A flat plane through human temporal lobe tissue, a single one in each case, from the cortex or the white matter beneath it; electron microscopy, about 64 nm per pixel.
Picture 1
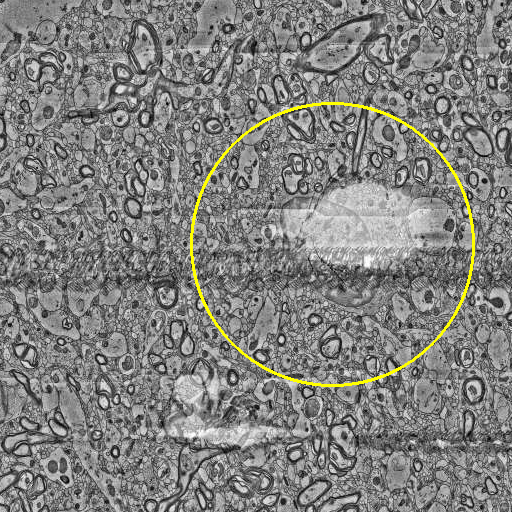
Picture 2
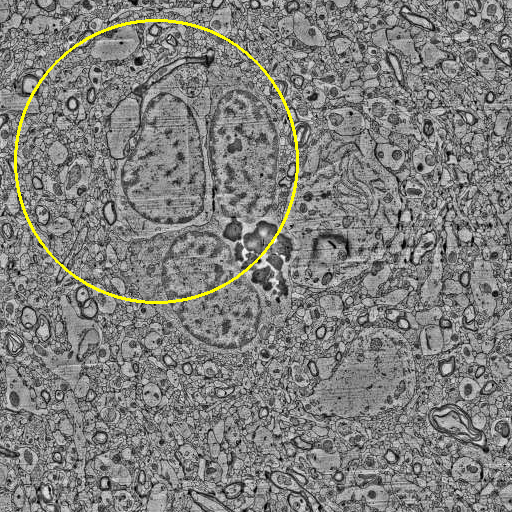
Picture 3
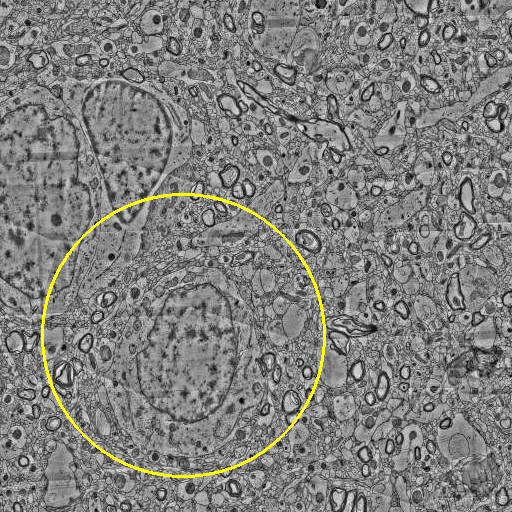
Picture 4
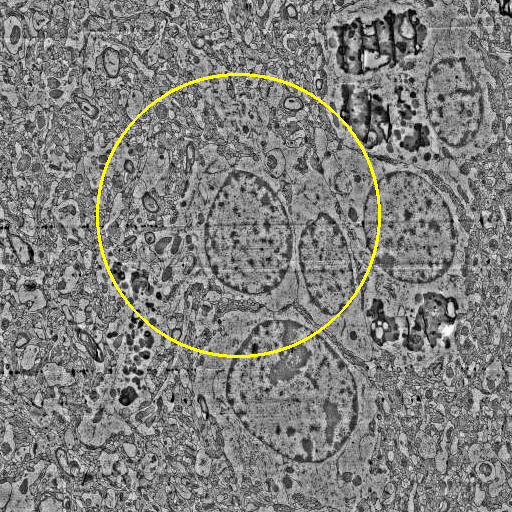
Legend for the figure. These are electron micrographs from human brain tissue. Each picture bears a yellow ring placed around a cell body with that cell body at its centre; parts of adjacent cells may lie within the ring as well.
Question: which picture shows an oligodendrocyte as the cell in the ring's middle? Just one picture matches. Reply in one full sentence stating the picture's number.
It is picture 1 whose yellow ring is centred on the requested cell.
